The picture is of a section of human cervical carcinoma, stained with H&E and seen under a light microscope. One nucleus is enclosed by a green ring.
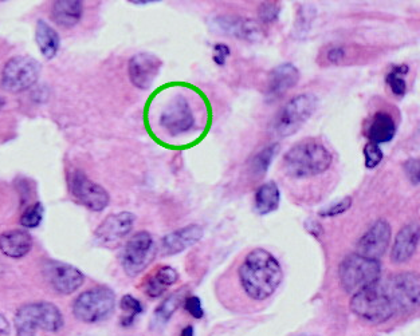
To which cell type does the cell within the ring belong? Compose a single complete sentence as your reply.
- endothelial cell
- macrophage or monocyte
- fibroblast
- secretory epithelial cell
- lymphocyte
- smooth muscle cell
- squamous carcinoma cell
Microscopically, the cell within the ring is categorized as a macrophage or monocyte.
